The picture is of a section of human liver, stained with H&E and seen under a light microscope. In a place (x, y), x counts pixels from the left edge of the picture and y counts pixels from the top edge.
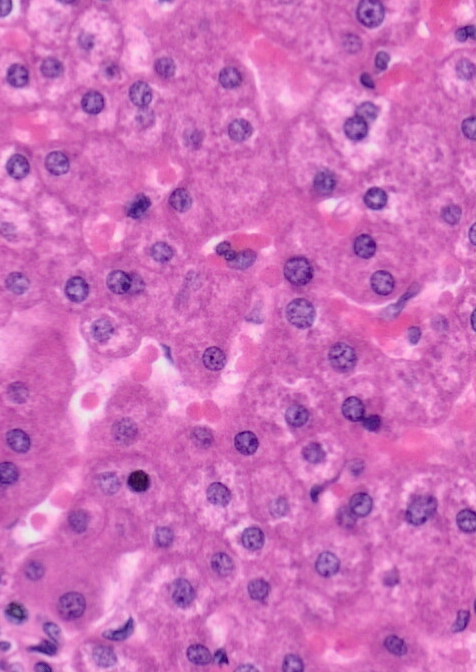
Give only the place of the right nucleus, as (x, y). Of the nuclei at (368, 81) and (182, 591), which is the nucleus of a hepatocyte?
(182, 591)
